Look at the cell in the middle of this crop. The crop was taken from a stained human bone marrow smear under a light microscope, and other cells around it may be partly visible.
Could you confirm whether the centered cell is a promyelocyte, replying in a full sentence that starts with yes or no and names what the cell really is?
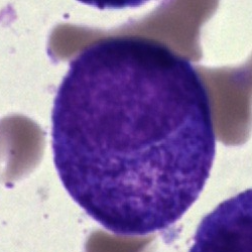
Yes, the middle cell here is a promyelocyte.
